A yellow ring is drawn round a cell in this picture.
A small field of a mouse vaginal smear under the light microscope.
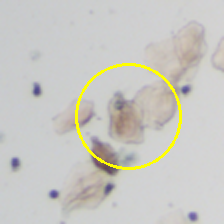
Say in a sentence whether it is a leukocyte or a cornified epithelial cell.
The cell in the ring is a cornified epithelial cell.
